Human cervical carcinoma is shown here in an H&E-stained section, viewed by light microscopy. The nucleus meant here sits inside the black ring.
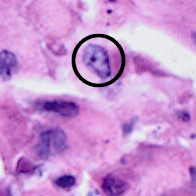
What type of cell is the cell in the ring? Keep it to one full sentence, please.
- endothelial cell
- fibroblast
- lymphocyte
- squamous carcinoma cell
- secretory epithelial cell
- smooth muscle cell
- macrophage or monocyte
Labelled by cell type, the cell in the ring is a macrophage or monocyte.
